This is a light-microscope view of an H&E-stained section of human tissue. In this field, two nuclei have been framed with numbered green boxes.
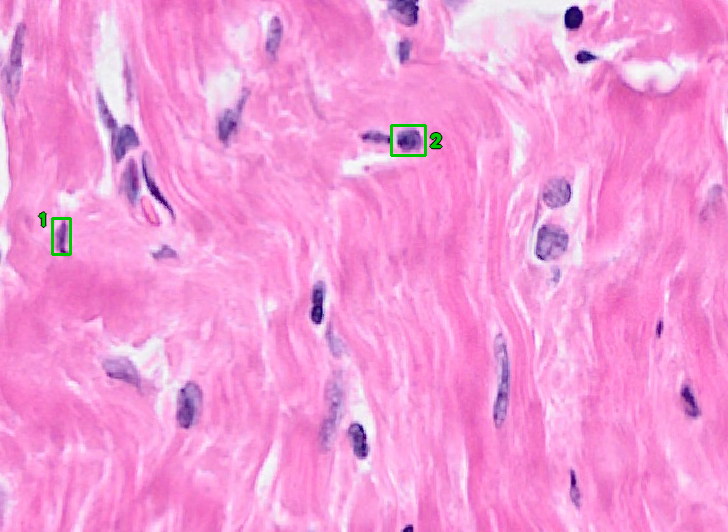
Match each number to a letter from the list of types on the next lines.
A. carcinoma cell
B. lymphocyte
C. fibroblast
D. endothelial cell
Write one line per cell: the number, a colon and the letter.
1: C
2: B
